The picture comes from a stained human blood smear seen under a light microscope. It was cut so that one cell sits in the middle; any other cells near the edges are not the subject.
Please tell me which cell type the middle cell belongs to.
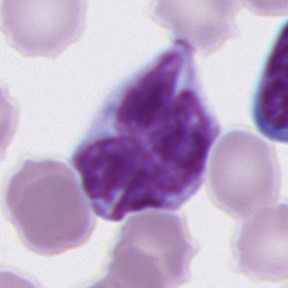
typical lymphocyte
